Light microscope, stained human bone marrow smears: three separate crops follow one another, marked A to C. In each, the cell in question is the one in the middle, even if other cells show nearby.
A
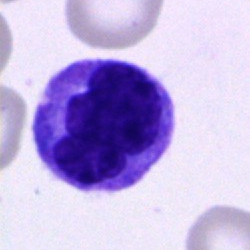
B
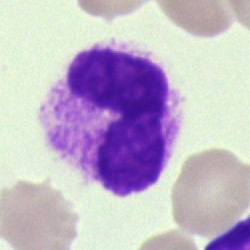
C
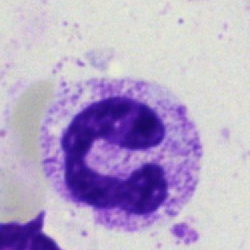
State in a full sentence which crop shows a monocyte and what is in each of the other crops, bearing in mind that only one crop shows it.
Crop A should be logged as a monocyte, while crop B is a band neutrophil and crop C is a segmented neutrophil.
